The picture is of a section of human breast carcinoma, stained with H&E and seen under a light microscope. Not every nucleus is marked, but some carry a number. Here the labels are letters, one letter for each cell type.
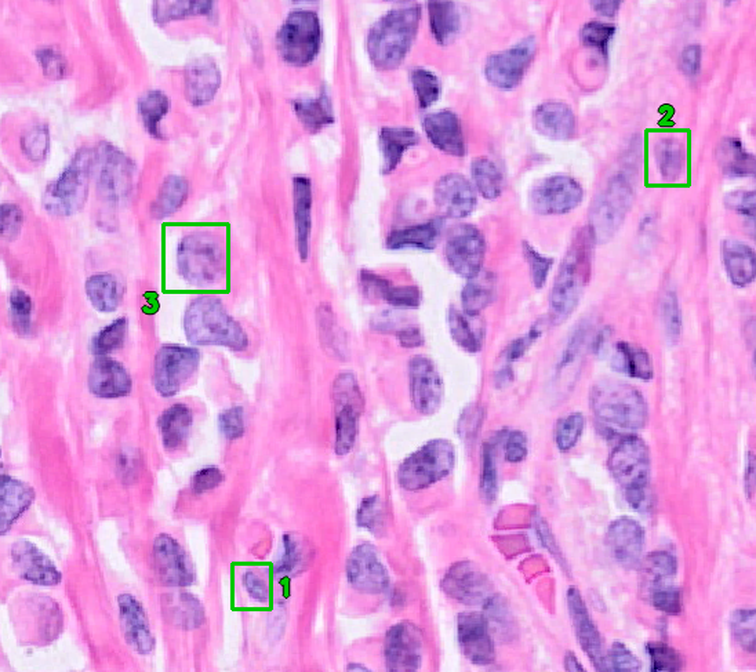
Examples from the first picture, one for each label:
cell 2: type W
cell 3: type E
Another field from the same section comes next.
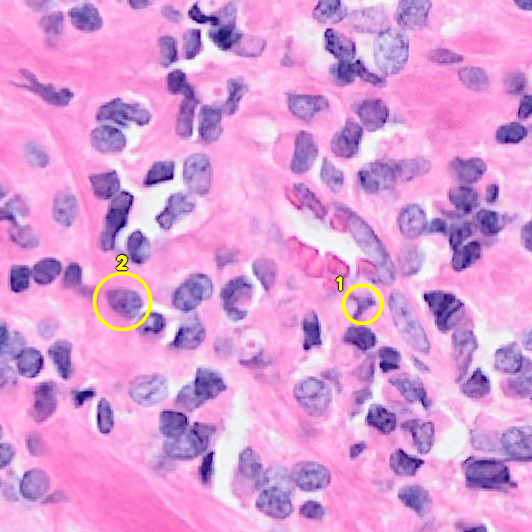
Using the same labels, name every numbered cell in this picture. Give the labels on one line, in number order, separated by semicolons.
type W; type E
